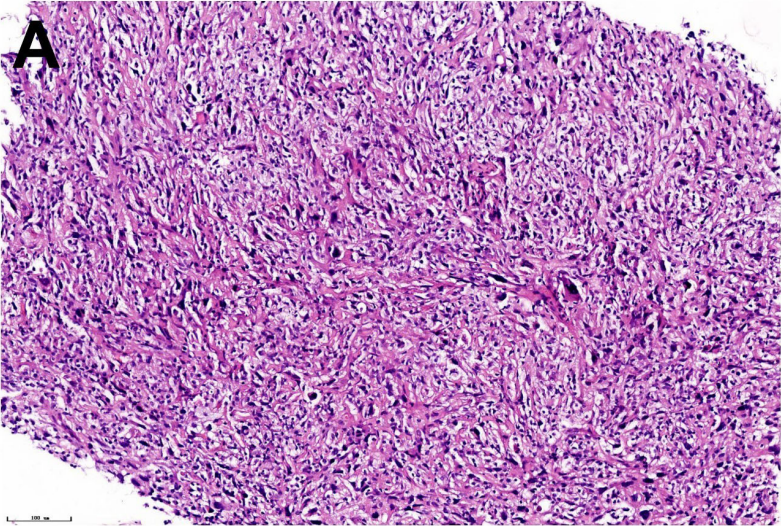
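This is a densely cellular tumor made of spindle-shaped cells packed closely together. The cells run in short interlacing bundles and show no organized tissue structure. Their nuclei are elongated to irregular, dark purple and clearly different in size from one cell to the next. Scattered larger cells with big dark nuclei stand out among the spindle cells. Thin strands of pink collagen run between the cell bundles.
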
